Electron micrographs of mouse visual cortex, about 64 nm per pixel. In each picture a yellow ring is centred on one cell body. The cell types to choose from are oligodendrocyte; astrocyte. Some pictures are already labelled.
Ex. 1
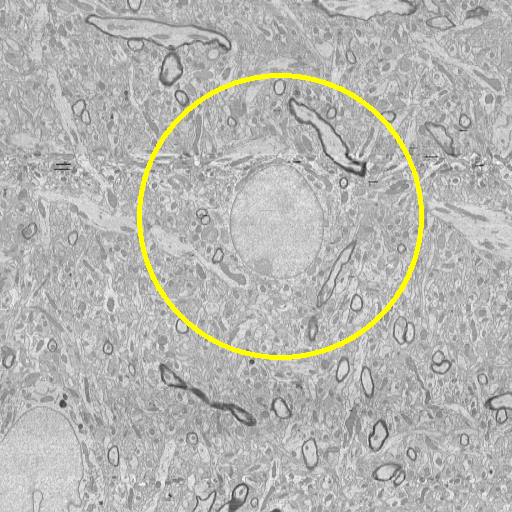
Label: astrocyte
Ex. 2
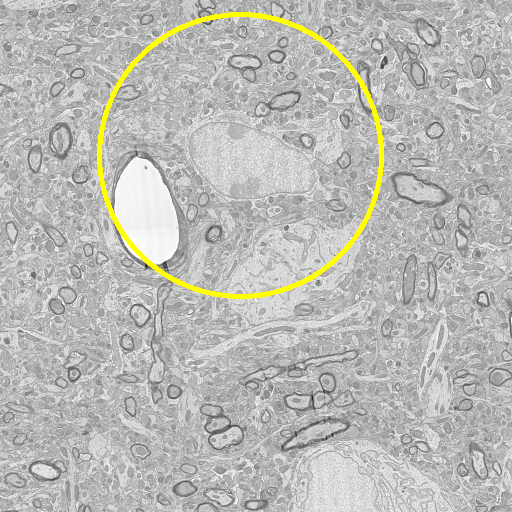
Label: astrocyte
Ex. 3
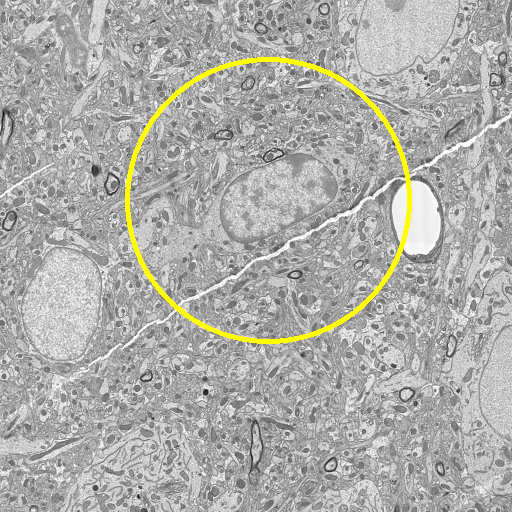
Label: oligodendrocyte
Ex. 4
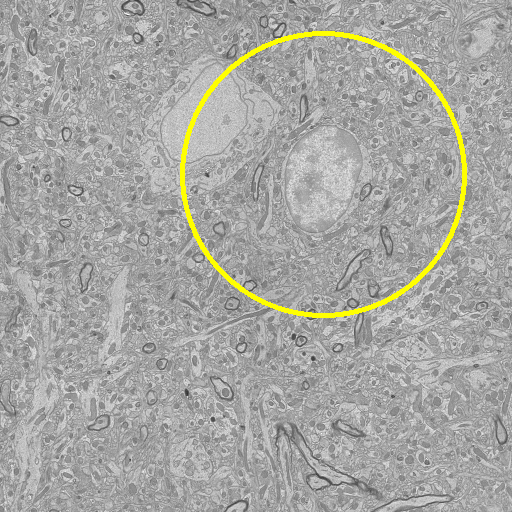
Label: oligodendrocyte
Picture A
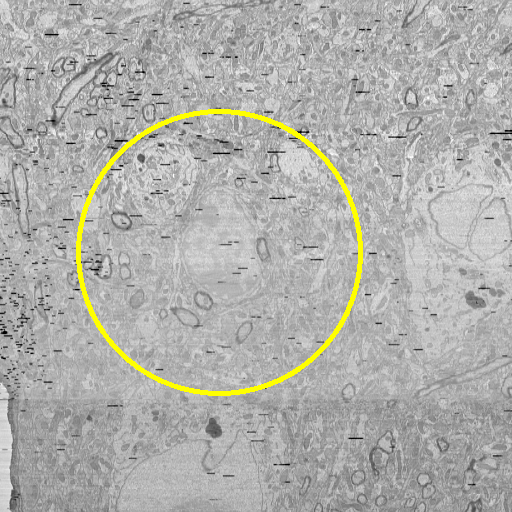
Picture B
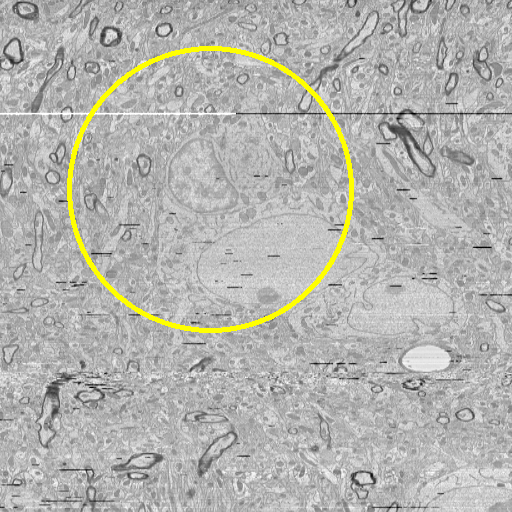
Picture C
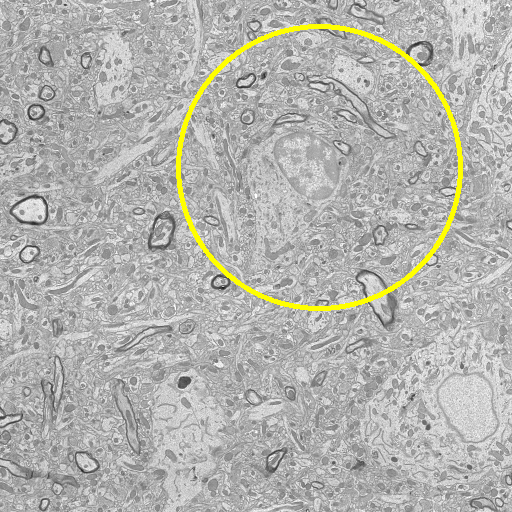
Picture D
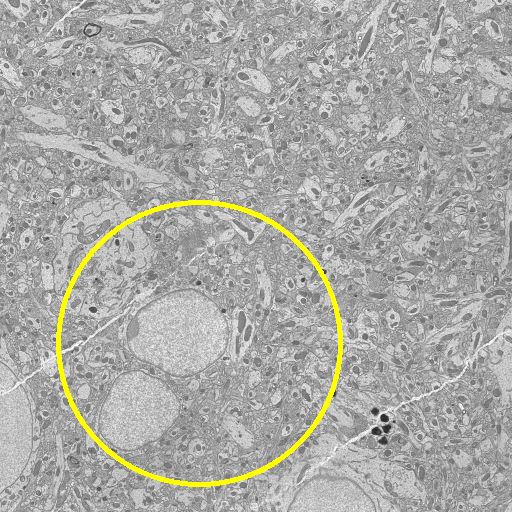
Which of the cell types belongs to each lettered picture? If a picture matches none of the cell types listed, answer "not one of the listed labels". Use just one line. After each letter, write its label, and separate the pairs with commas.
A oligodendrocyte, B oligodendrocyte, C oligodendrocyte, D astrocyte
